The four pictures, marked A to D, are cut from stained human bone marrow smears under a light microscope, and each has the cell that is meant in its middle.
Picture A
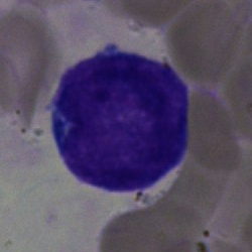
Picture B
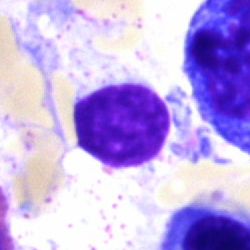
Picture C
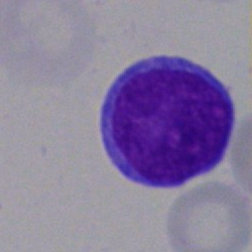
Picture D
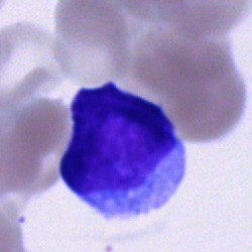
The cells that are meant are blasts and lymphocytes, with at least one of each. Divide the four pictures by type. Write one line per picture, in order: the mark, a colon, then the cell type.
A: blast
B: lymphocyte
C: blast
D: blast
